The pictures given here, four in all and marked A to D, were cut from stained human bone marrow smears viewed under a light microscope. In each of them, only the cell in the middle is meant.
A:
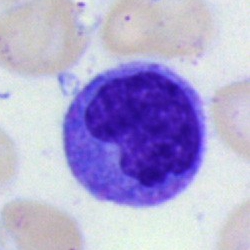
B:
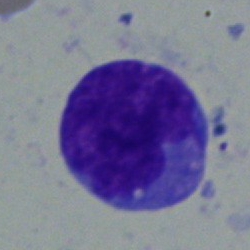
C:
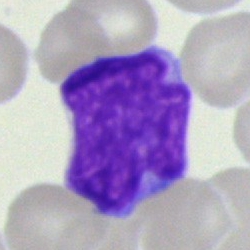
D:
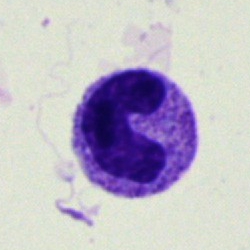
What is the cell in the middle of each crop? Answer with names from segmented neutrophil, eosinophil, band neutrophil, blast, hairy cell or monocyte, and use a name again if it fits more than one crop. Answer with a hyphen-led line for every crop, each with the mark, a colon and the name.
- A: monocyte
- B: blast
- C: blast
- D: band neutrophil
